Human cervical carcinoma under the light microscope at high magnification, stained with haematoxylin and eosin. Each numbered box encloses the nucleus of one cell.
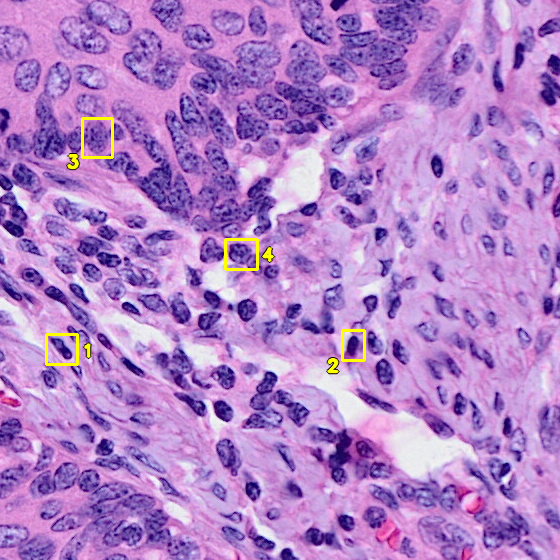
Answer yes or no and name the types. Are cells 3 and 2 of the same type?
No, cell 3 is a squamous carcinoma cell, and cell 2, on the other hand, is a lymphocyte.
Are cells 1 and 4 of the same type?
Yes, both of cells 1 and 4 are lymphocytes.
